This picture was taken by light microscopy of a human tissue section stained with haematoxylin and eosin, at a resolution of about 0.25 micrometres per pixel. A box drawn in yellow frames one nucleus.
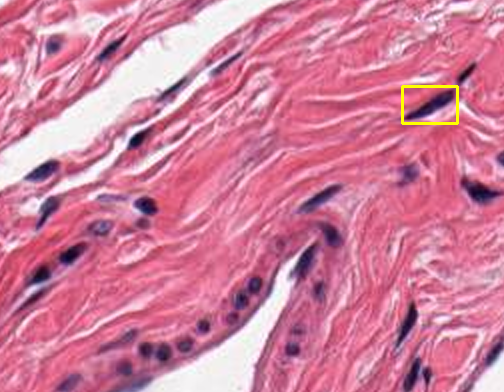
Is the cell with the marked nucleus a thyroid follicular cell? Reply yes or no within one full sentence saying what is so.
No, the marked nucleus, which belongs to a supporting cell, is not part of a thyroid follicular cell.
